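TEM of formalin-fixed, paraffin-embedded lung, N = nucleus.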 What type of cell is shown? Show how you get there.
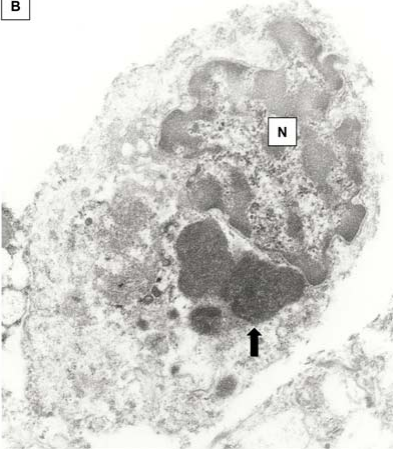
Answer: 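Alveolar macrophage. A single isolated cell with an irregular, lobulated nucleus. Abundant pale cytoplasm with small vacuoles and granular inclusions.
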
